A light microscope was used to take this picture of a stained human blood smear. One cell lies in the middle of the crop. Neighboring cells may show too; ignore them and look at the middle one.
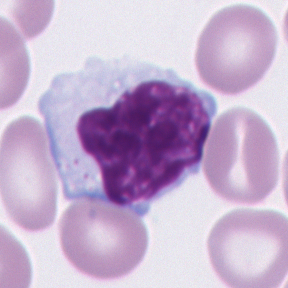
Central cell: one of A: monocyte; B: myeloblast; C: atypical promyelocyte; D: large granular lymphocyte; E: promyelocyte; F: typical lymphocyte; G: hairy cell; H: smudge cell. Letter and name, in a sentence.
The cell shown centrally is a large granular lymphocyte; option D is the correct option.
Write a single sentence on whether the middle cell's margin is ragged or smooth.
The contour of the cell is interrupted by ragged areas or by projections.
